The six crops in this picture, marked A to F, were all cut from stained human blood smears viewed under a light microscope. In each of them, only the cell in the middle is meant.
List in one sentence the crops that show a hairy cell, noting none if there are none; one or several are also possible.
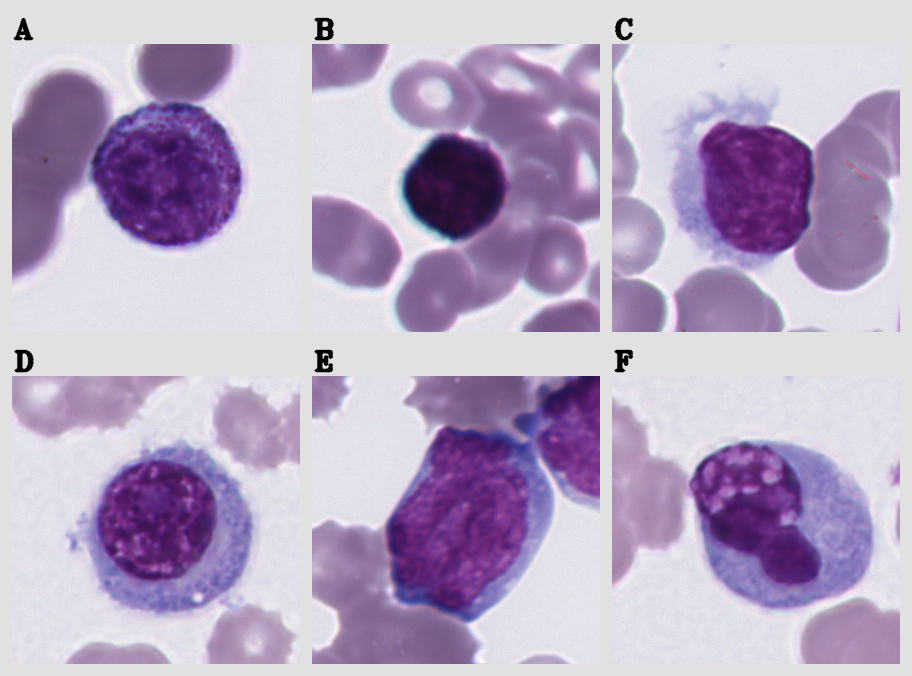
Crop C contains a hairy cell, whereas the other crops contain none.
